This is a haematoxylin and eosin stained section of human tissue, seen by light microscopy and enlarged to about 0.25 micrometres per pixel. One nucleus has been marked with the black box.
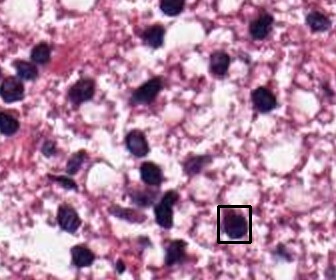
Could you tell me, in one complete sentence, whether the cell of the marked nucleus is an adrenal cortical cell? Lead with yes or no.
Yes, the nucleus pointed to by the marking is that of an adrenal cortical cell.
